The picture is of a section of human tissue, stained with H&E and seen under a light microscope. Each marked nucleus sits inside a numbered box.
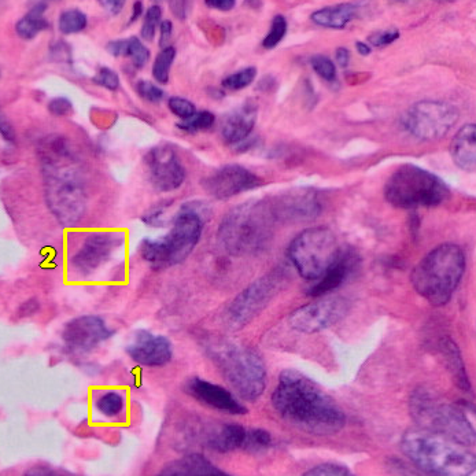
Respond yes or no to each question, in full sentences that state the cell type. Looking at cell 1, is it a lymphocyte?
Yes, the number 1 belongs to a lymphocyte.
